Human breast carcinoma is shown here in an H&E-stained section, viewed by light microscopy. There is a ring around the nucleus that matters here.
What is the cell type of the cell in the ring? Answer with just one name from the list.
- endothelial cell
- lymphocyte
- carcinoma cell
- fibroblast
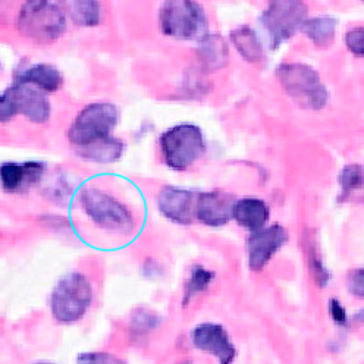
endothelial cell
